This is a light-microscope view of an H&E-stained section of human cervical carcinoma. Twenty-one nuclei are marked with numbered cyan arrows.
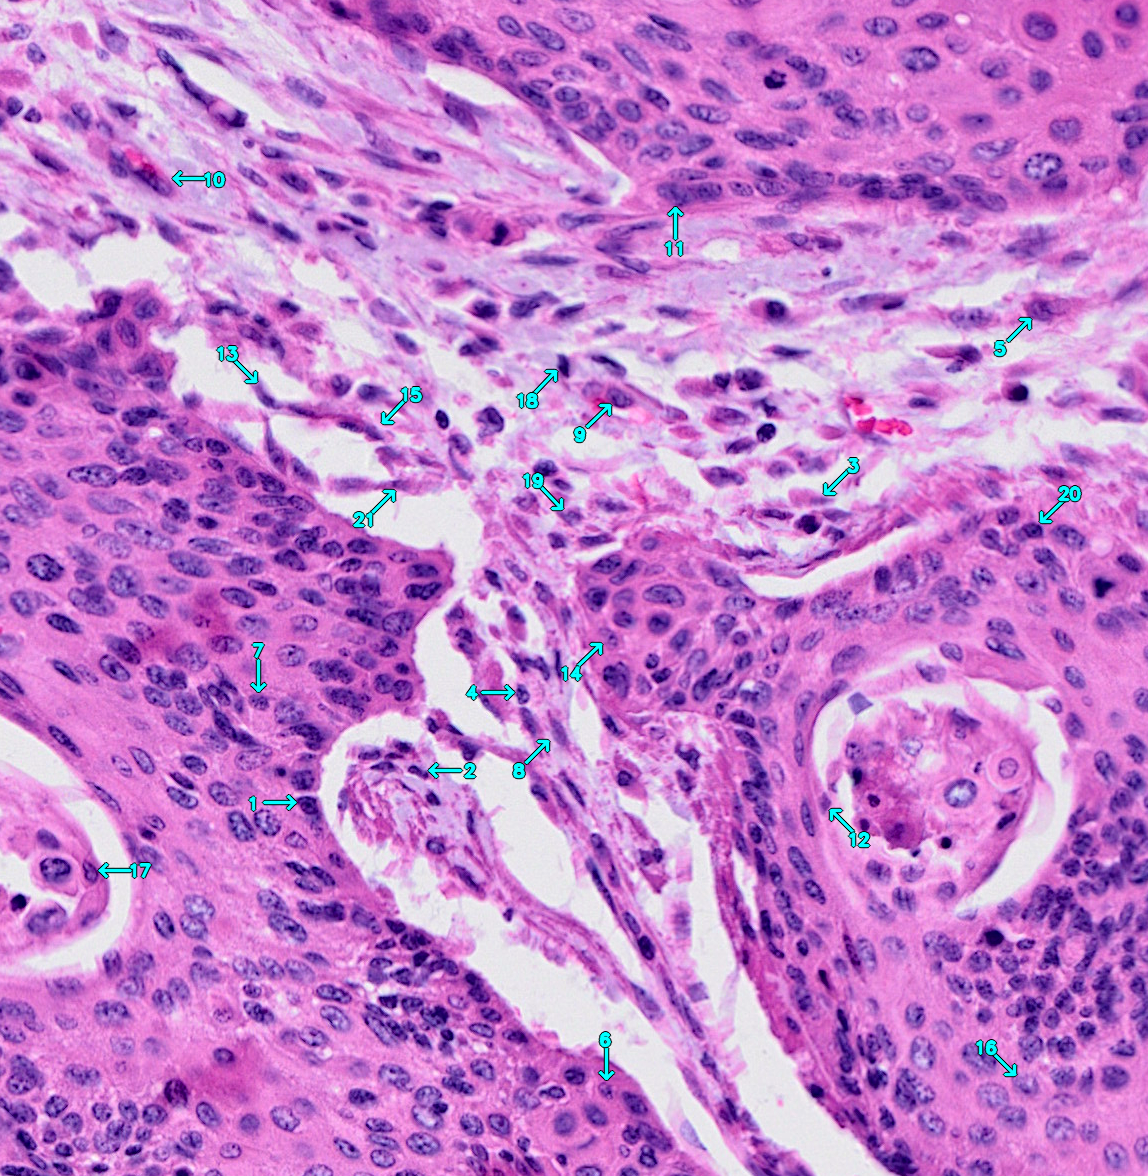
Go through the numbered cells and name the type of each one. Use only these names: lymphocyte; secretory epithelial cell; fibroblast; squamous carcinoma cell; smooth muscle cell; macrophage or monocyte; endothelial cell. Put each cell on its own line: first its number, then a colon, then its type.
1: squamous carcinoma cell
2: fibroblast
3: fibroblast
4: lymphocyte
5: macrophage or monocyte
6: squamous carcinoma cell
7: squamous carcinoma cell
8: fibroblast
9: endothelial cell
10: endothelial cell
11: squamous carcinoma cell
12: squamous carcinoma cell
13: fibroblast
14: squamous carcinoma cell
15: fibroblast
16: squamous carcinoma cell
17: squamous carcinoma cell
18: lymphocyte
19: fibroblast
20: squamous carcinoma cell
21: fibroblast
